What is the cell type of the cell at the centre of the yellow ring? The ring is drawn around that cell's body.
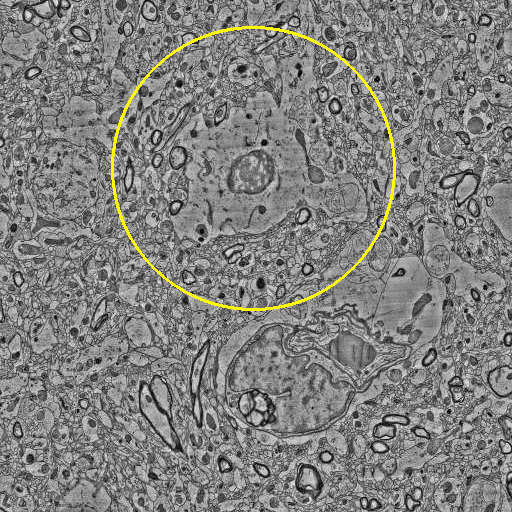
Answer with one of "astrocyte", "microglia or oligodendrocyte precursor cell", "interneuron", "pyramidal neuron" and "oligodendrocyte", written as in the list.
astrocyte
